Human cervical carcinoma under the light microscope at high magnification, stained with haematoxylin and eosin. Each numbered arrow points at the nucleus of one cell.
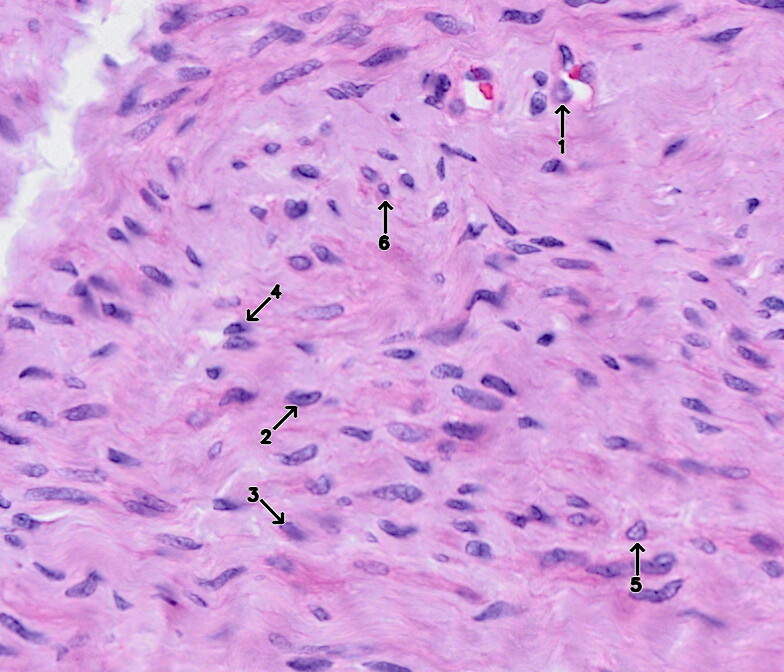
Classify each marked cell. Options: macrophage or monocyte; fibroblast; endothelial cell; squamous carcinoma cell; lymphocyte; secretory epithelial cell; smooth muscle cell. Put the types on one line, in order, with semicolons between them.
endothelial cell; fibroblast; smooth muscle cell; fibroblast; smooth muscle cell; smooth muscle cell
